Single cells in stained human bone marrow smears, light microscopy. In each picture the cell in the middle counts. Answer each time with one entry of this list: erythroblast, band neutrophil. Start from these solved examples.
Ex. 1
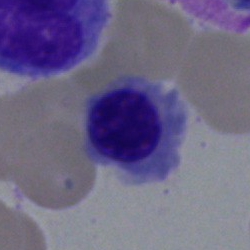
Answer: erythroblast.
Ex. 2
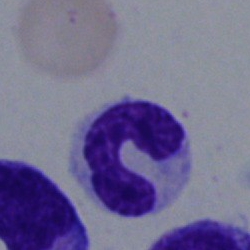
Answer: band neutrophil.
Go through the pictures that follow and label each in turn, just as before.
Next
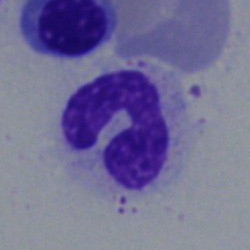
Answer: band neutrophil.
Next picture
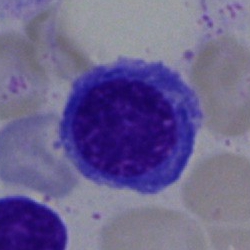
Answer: erythroblast.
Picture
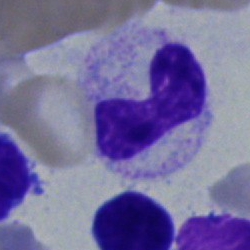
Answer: band neutrophil.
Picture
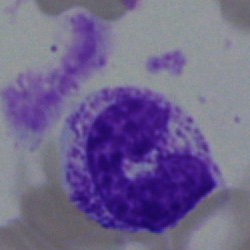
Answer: band neutrophil.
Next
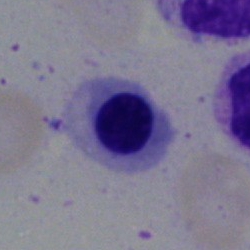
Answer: erythroblast.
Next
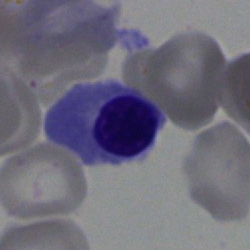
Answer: erythroblast.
